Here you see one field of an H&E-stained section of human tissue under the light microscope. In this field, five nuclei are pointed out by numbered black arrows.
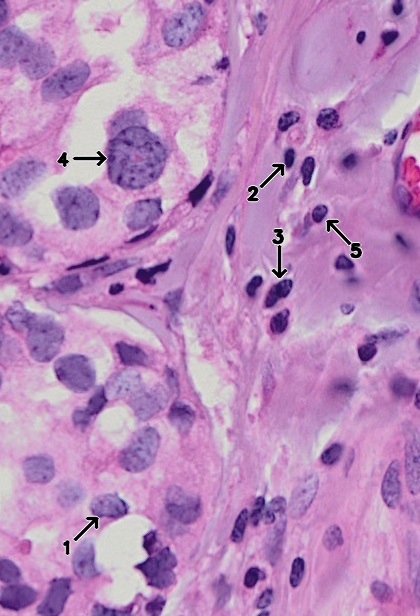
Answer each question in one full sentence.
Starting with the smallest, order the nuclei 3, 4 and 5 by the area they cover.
By area, going up from the smallest, they rank 5, 3, 4.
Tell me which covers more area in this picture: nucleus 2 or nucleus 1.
Nucleus 1 is larger, with an area about 3 times that of nucleus 2.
